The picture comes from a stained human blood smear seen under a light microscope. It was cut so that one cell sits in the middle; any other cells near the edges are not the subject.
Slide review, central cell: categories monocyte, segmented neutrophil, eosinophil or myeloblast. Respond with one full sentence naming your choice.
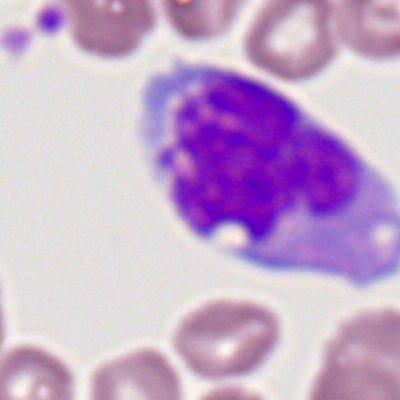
The cell that lies at the centre of the crop is a monocyte.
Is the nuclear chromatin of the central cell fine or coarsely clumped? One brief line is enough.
Here the nuclear chromatin is coarsely clumped.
